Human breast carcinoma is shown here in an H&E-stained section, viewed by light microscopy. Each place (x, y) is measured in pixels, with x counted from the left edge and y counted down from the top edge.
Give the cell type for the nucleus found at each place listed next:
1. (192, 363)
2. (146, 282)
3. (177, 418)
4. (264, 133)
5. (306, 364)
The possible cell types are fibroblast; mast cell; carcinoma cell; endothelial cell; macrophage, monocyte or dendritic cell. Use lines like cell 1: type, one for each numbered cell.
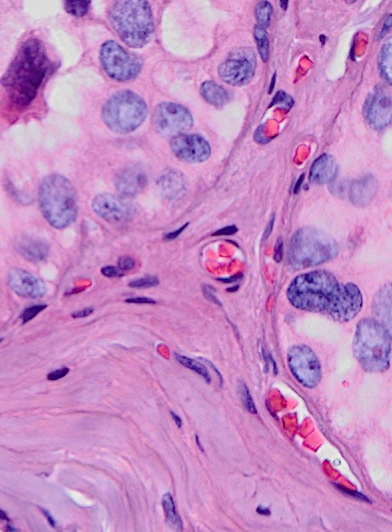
cell 1: fibroblast
cell 2: fibroblast
cell 3: fibroblast
cell 4: endothelial cell
cell 5: carcinoma cell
